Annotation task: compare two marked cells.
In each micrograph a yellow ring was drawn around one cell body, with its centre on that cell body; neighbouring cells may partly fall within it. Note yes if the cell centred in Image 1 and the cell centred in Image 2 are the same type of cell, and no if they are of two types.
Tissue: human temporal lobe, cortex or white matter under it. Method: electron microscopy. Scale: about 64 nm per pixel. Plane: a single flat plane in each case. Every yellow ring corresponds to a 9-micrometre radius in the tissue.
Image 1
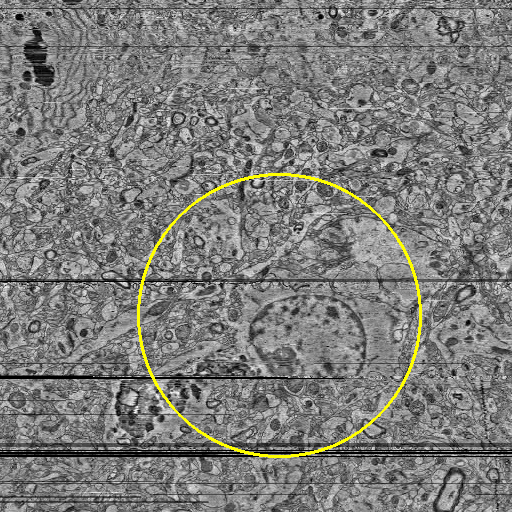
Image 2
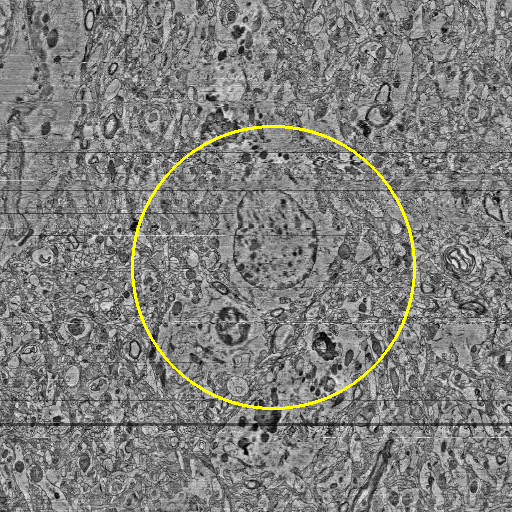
yes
